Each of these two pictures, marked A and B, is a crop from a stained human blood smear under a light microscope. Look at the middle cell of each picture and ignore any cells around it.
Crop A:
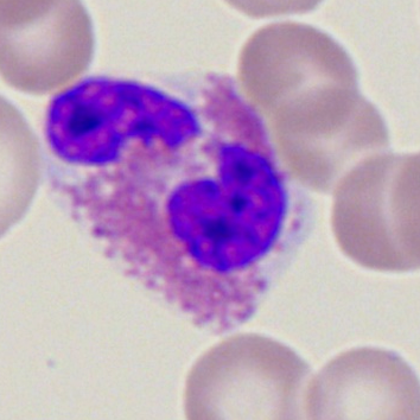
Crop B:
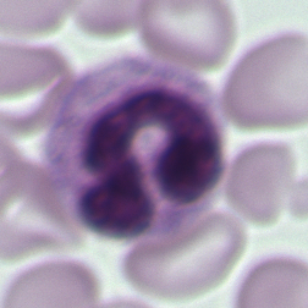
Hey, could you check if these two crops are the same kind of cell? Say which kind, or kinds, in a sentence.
No, it is crop A that shows an eosinophil, and crop B that shows a neutrophil.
